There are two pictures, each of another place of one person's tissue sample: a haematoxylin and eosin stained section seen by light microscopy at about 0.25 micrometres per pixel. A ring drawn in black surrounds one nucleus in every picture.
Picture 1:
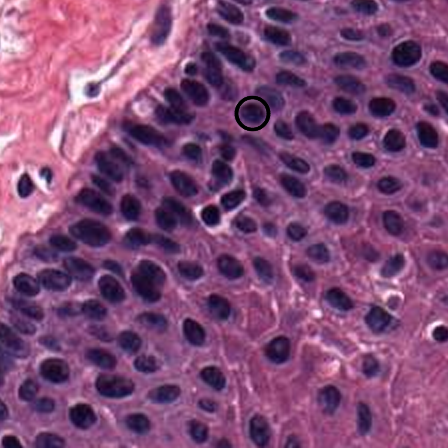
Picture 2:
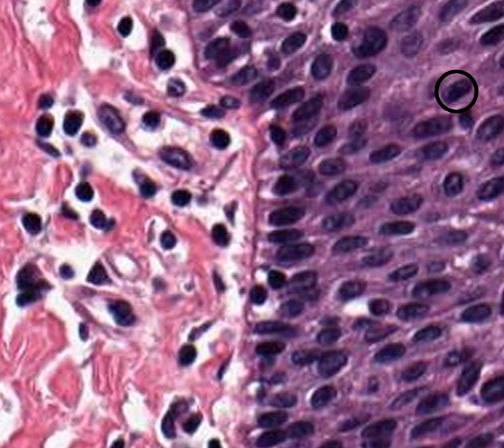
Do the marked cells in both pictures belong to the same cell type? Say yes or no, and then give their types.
Yes, both are squamous epithelial cells.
